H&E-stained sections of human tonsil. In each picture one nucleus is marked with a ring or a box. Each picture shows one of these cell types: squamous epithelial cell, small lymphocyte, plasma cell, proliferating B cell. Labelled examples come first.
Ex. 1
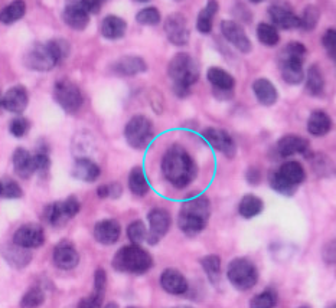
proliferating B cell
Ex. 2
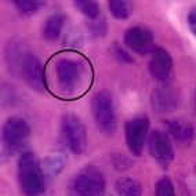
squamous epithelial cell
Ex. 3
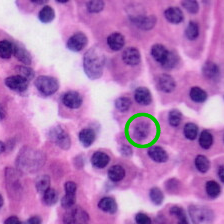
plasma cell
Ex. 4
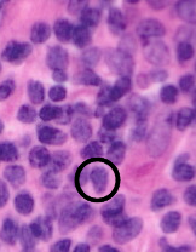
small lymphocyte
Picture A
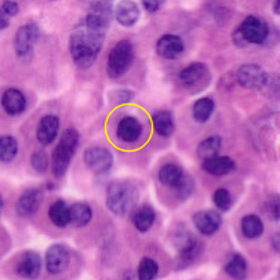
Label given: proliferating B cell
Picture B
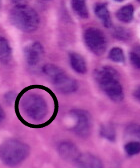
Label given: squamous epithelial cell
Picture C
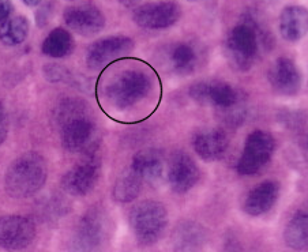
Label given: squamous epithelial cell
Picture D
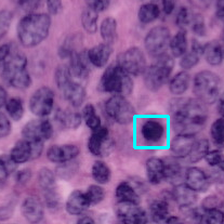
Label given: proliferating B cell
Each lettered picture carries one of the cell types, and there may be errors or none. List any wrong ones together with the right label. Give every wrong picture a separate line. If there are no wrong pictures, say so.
A: not proliferating B cell but plasma cell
